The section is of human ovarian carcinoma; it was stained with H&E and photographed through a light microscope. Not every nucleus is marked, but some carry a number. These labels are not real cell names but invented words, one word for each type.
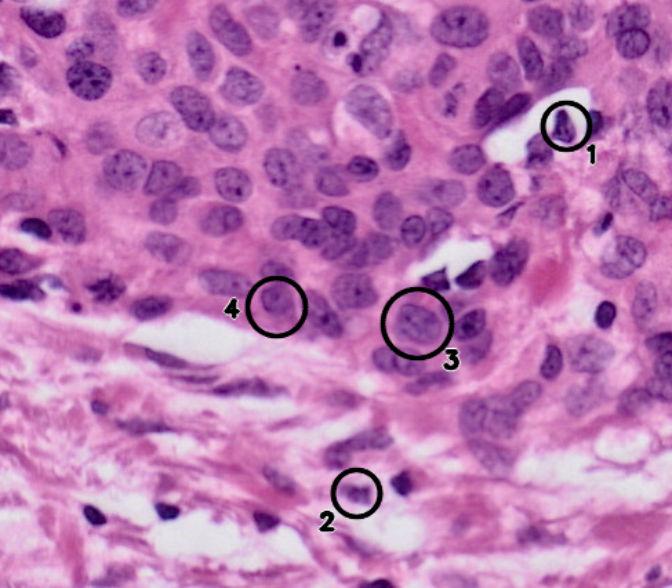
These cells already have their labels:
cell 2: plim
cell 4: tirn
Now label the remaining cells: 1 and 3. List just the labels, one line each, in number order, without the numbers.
tirn
tirn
